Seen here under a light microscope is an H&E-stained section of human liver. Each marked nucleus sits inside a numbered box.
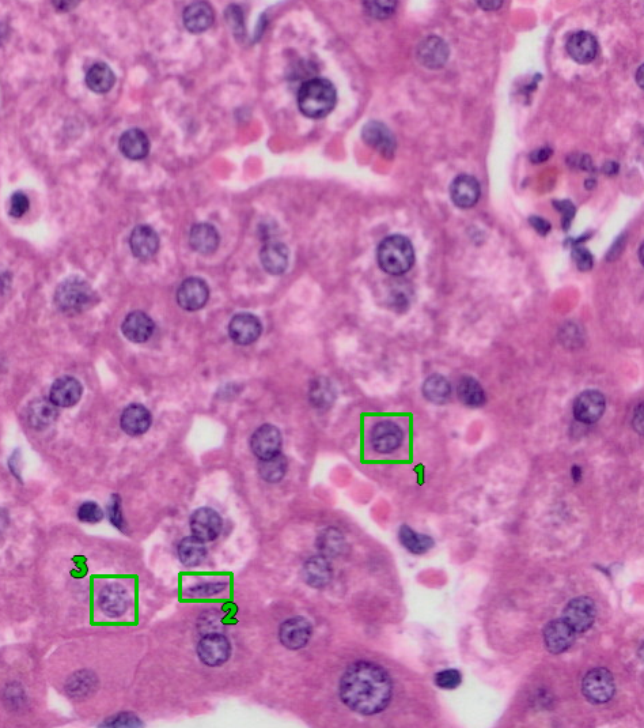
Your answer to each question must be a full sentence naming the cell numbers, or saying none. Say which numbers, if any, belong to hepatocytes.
Cells that were given the numbers 1 and 3 are hepatocytes.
